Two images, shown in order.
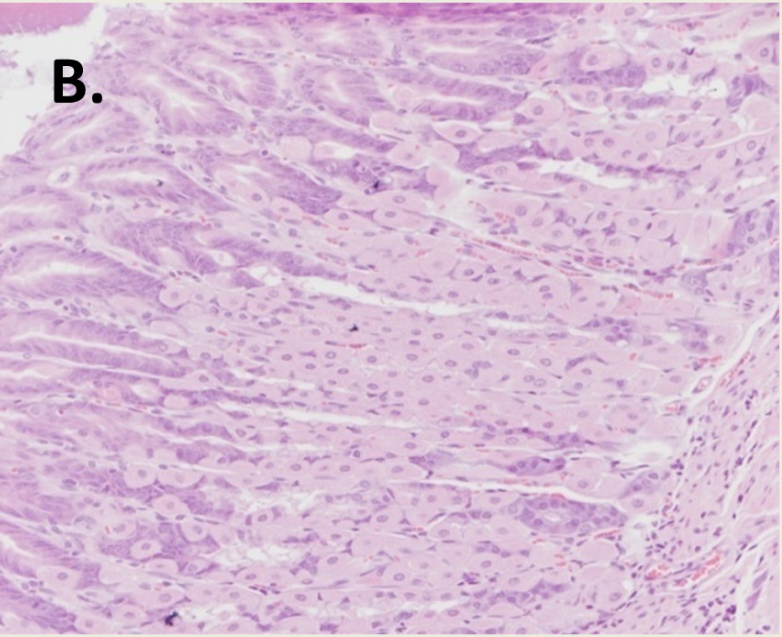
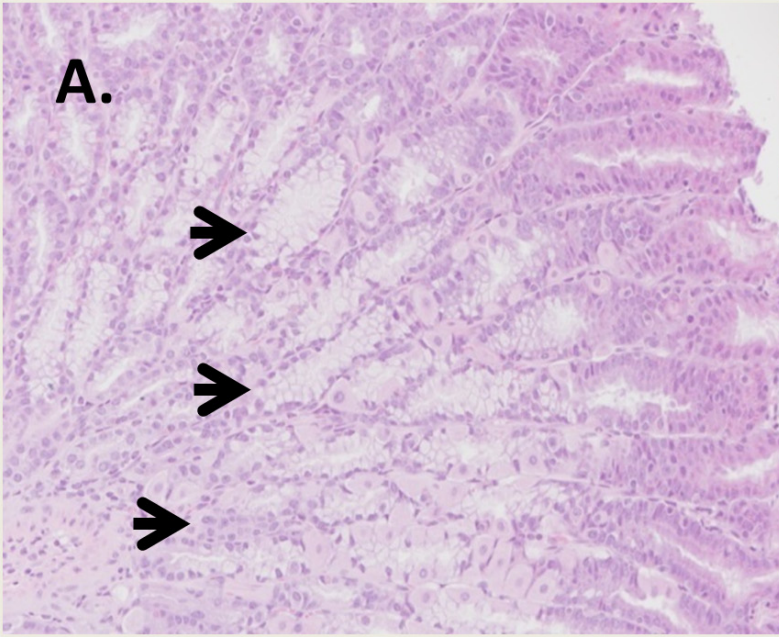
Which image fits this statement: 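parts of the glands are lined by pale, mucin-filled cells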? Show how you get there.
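The second image. First image: the glands are lined throughout by pink, eosinophilic cells with round central nuclei and purple basophilic cells, without clear foamy cells. Second image: several glands in the deeper mucosa are lined by cells with pale, clear, foamy cytoplasm.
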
